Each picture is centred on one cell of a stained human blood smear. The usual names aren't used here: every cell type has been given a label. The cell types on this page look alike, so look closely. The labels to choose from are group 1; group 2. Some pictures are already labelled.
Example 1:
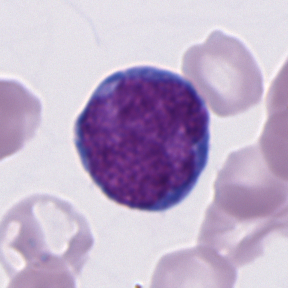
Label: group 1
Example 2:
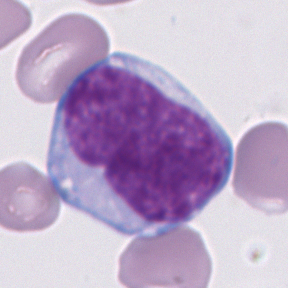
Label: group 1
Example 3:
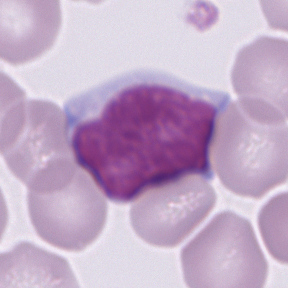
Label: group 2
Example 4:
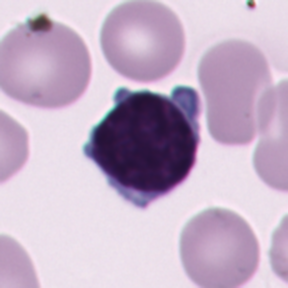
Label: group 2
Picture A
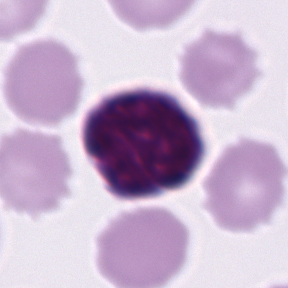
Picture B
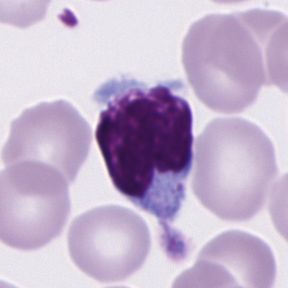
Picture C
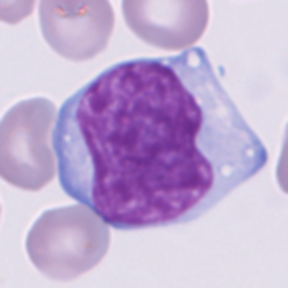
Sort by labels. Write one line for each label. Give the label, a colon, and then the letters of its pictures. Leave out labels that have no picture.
group 1: C
group 2: A, B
